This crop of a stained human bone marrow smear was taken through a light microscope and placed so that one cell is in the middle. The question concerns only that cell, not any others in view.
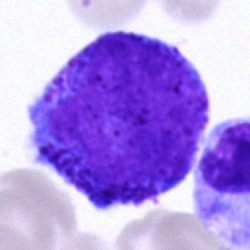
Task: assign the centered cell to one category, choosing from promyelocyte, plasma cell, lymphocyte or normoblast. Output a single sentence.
Of the cells in this crop, the central one is a promyelocyte.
